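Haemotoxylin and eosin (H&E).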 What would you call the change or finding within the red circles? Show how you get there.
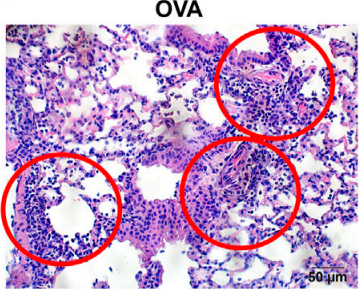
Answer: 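The circled clusters lie against the walls of airways lined by epithelium. On this evidence: Inflammatory infiltrates.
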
